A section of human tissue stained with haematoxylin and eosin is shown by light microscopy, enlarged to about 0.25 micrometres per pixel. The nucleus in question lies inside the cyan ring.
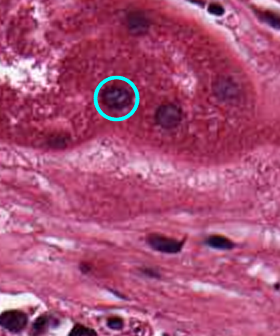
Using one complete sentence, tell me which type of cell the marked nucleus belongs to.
To a proximal tubule cell belongs the marked nucleus.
